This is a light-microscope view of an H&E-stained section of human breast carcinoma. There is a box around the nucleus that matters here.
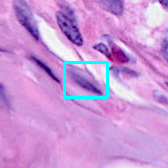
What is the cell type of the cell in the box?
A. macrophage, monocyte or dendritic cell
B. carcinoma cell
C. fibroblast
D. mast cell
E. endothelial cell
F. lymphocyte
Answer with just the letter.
C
